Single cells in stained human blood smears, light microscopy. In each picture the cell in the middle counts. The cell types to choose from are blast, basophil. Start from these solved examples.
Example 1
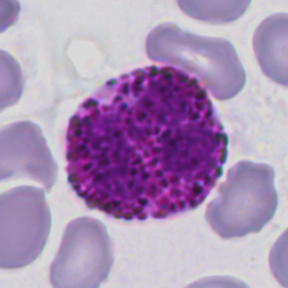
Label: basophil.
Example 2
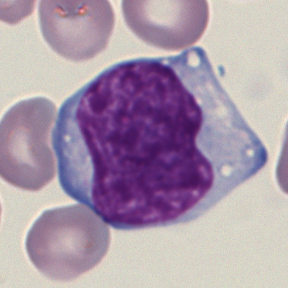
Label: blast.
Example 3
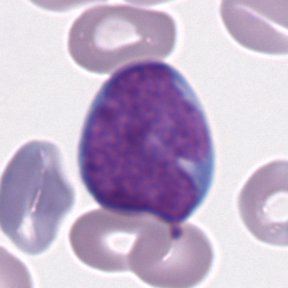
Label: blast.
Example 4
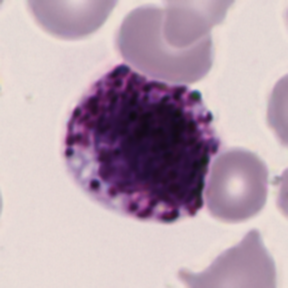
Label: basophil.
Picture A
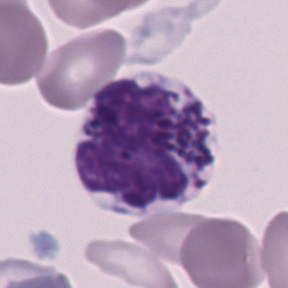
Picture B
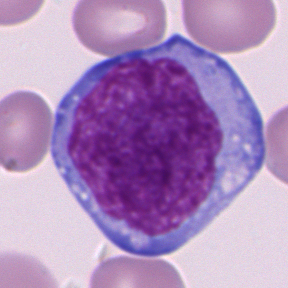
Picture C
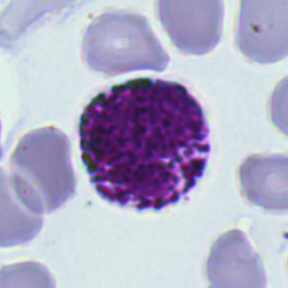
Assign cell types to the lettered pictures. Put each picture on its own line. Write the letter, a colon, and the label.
A: basophil.
B: blast.
C: basophil.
